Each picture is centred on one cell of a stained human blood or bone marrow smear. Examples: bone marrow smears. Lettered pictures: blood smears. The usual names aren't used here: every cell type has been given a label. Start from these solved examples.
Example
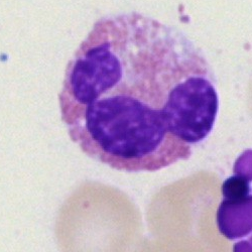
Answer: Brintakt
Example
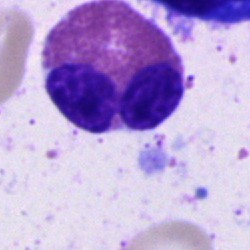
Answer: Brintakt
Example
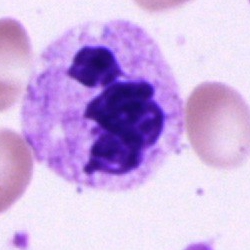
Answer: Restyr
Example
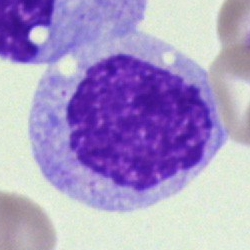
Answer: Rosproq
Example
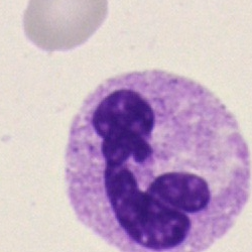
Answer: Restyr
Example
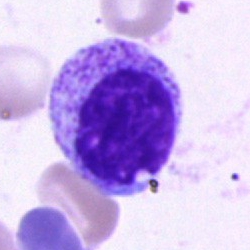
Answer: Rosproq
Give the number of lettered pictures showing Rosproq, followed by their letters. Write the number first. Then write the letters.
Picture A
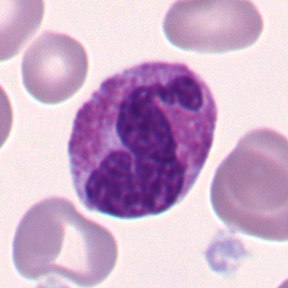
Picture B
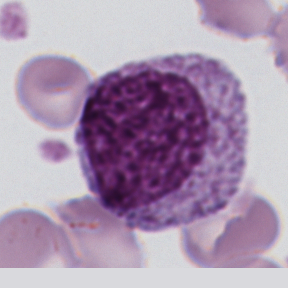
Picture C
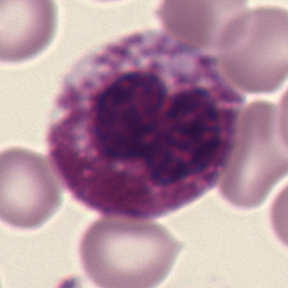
1, namely B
